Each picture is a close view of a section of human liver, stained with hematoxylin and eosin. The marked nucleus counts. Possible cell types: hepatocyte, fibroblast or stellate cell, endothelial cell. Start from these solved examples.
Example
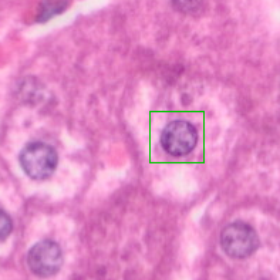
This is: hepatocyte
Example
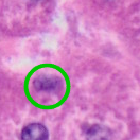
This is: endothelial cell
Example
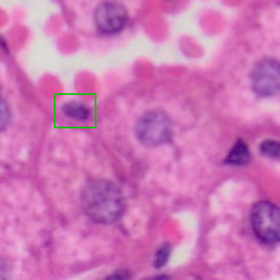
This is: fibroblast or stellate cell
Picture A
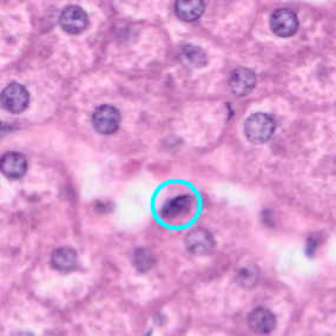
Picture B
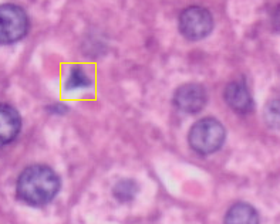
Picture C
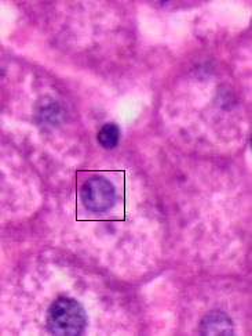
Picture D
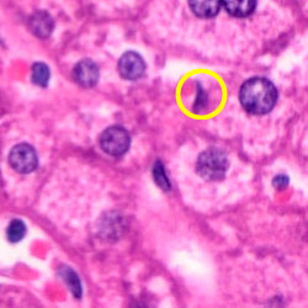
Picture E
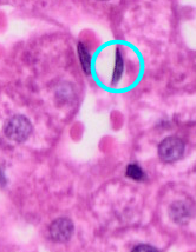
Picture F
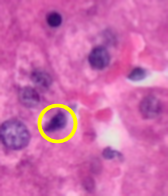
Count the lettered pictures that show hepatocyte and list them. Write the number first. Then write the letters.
1: C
